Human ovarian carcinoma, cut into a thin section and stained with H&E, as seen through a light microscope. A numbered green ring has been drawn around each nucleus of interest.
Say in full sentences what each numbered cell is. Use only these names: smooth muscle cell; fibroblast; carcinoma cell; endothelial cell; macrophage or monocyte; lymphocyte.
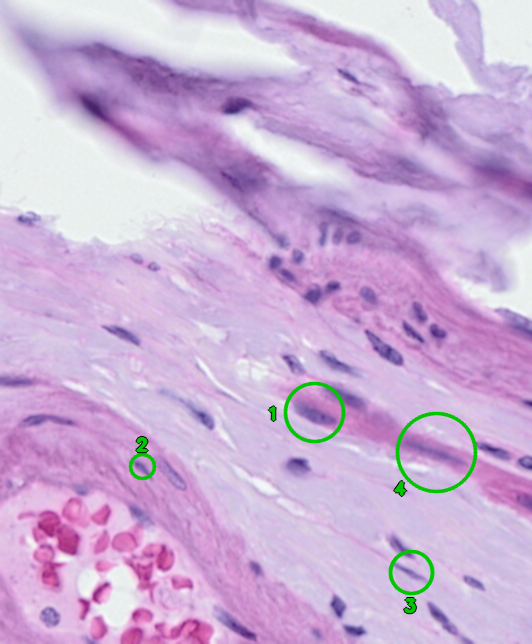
Cells 1, 2 and 4 are smooth muscle cells. Cell 3 is a fibroblast.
